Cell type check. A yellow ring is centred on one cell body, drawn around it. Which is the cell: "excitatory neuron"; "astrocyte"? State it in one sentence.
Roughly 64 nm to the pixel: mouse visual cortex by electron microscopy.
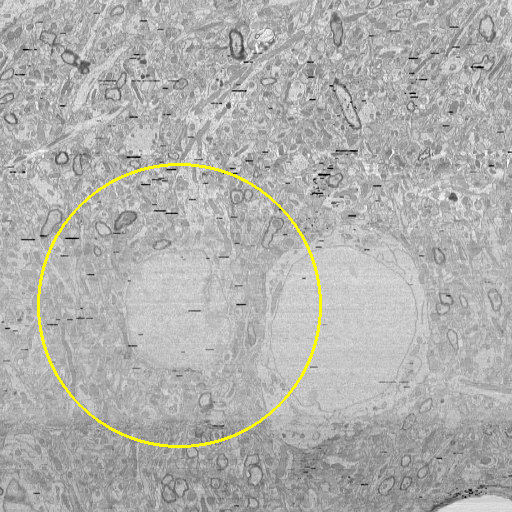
The cell body at the ring's centre belongs to an astrocyte.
